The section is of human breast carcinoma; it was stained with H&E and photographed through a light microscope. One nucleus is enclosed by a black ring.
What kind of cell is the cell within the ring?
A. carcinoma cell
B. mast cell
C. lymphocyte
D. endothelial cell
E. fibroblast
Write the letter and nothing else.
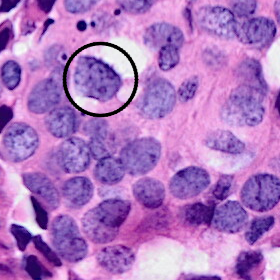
A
